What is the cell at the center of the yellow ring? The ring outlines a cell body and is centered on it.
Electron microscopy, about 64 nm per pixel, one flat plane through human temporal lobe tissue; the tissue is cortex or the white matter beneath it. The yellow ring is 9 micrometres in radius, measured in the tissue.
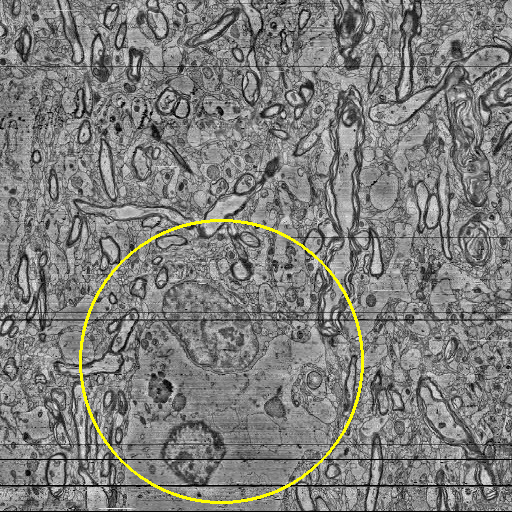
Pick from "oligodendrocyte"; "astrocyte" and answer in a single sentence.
The yellow ring is centered on an oligodendrocyte.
